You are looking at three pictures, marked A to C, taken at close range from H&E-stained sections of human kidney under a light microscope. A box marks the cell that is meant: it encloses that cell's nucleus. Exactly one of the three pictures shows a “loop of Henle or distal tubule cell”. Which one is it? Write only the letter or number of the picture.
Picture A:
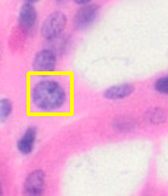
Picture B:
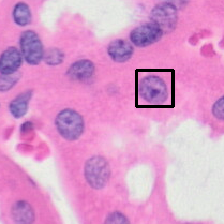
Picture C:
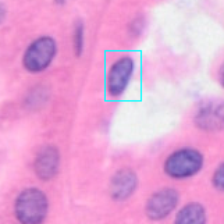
C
